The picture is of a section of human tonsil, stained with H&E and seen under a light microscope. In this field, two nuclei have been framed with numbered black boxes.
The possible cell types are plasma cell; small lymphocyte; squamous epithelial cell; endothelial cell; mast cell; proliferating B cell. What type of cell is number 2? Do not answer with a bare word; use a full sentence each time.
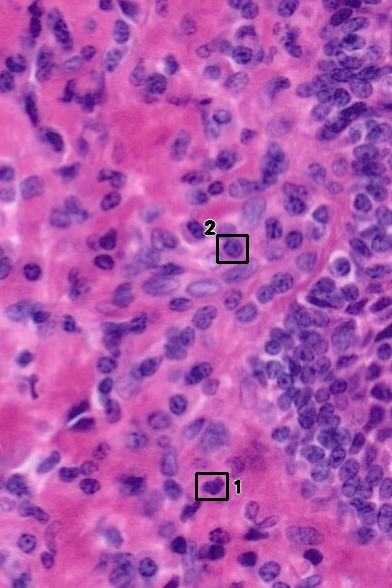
To a plasma cell belongs the nucleus marked 2.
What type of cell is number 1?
The cell marked with the number 1 is a mast cell.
